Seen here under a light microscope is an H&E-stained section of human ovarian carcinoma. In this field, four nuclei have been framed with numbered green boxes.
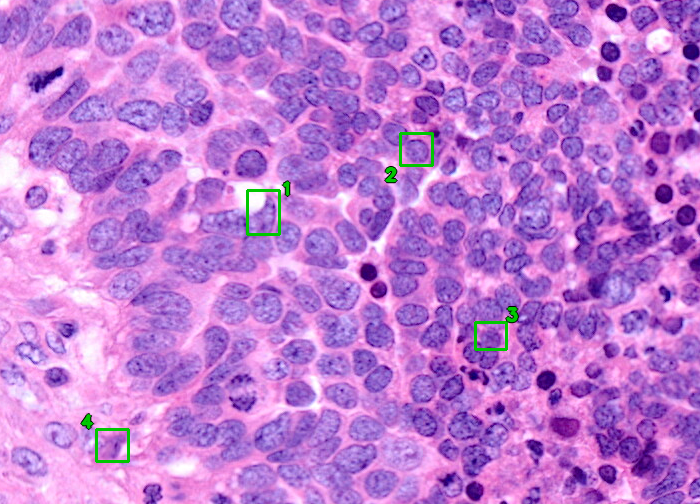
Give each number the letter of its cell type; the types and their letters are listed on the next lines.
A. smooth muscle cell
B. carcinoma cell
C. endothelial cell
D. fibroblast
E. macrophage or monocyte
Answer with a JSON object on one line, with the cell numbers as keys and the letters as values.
{"1": "B", "2": "B", "3": "B", "4": "D"}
